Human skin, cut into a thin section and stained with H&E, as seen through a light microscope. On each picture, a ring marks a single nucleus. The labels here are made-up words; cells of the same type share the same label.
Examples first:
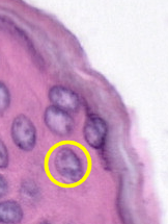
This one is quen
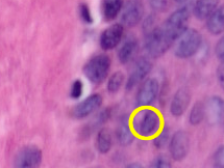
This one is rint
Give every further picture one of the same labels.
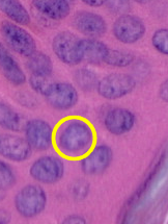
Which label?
quen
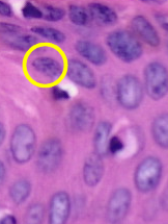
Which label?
rint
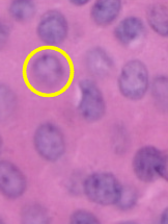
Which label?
quen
